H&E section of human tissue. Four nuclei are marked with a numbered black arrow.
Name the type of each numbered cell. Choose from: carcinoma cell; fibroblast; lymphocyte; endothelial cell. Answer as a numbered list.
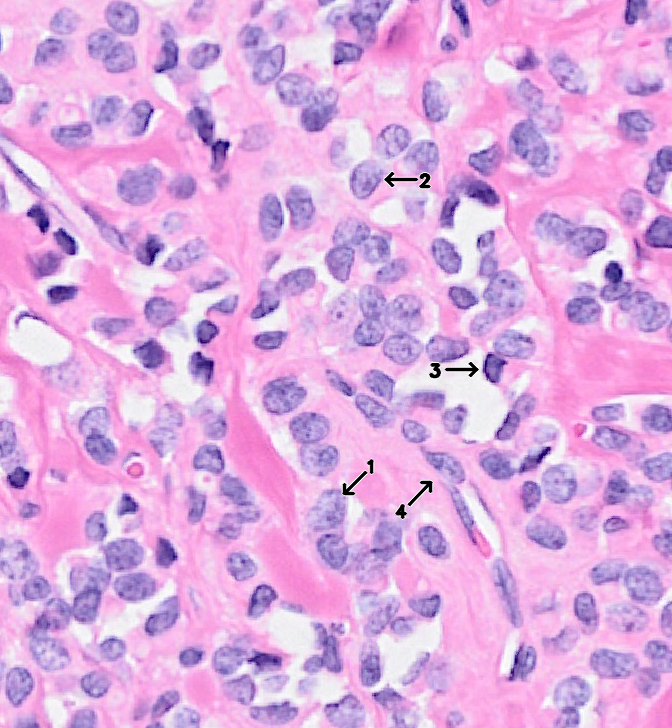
1. carcinoma cell
2. carcinoma cell
3. carcinoma cell
4. endothelial cell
